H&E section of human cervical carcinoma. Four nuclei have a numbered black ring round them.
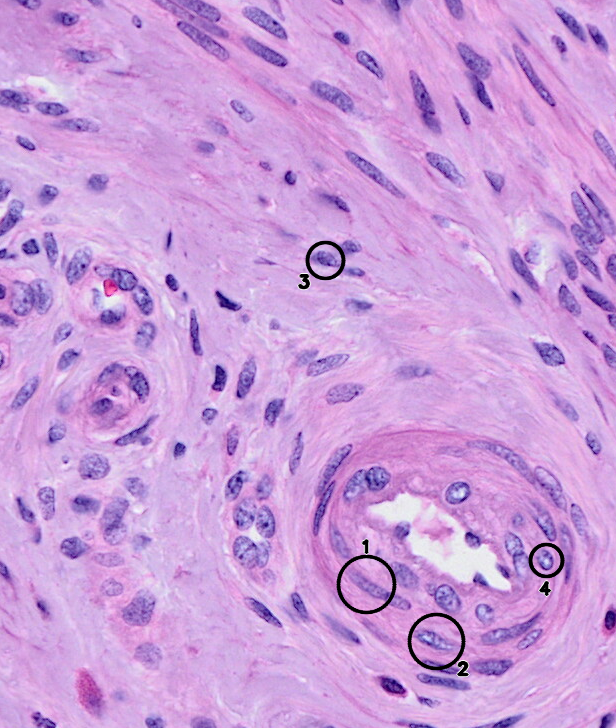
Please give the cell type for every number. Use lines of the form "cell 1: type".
cell 1: smooth muscle cell
cell 2: smooth muscle cell
cell 3: fibroblast
cell 4: smooth muscle cell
